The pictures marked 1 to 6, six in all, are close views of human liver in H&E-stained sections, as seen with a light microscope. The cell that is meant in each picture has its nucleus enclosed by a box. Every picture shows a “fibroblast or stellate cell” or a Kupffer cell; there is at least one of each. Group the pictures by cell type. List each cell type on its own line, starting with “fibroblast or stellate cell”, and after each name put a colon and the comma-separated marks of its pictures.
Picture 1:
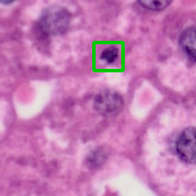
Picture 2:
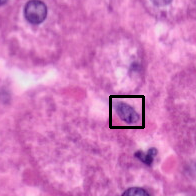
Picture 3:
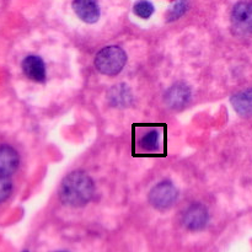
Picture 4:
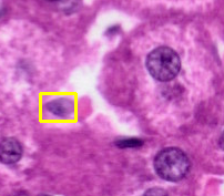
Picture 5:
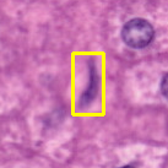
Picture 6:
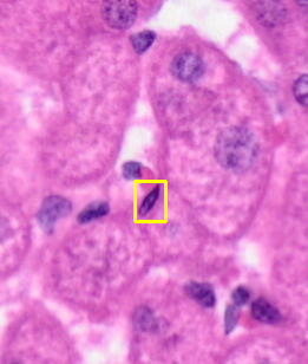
fibroblast or stellate cell: 1, 3, 6
Kupffer cell: 2, 4, 5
